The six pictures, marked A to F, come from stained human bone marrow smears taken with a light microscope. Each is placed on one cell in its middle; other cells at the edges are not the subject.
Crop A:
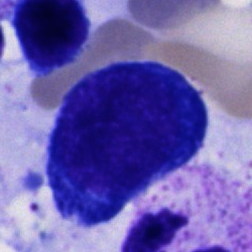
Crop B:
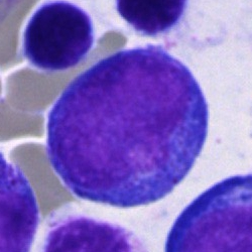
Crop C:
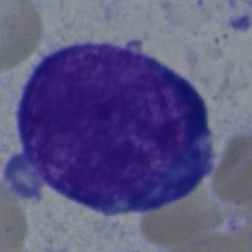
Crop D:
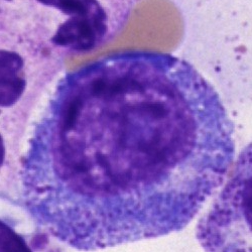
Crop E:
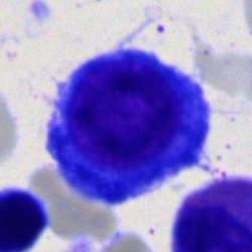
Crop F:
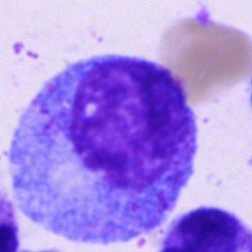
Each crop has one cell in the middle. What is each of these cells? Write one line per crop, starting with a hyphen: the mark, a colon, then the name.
- A: proerythroblast
- B: proerythroblast
- C: proerythroblast
- D: promyelocyte
- E: proerythroblast
- F: promyelocyte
